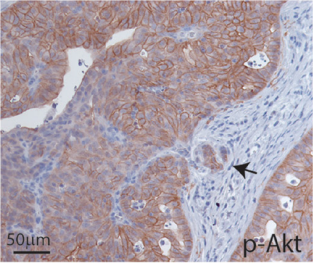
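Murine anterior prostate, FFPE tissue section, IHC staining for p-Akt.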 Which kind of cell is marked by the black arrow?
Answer: invasive cells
